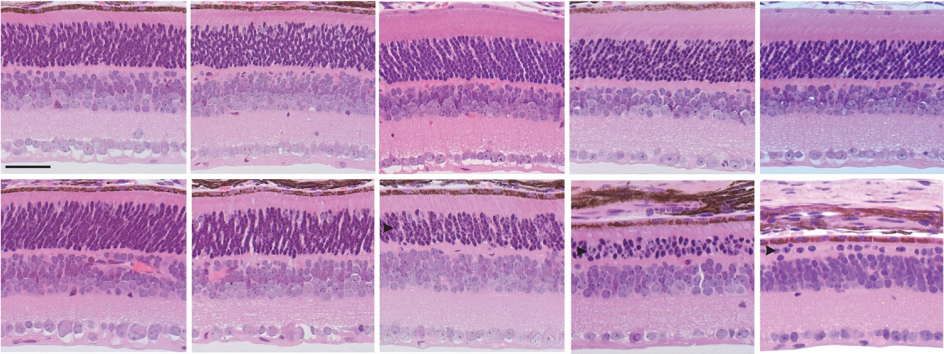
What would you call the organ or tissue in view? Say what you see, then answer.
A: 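Stacked layers of nuclei separated by pale pink fibrous layers. The bottom edge has a single row of scattered larger nuclei.
Retina.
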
